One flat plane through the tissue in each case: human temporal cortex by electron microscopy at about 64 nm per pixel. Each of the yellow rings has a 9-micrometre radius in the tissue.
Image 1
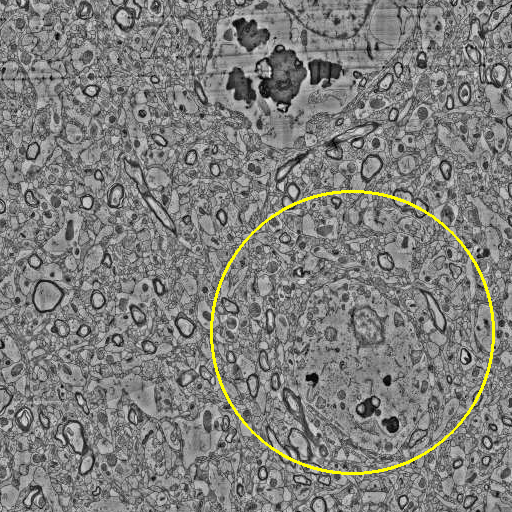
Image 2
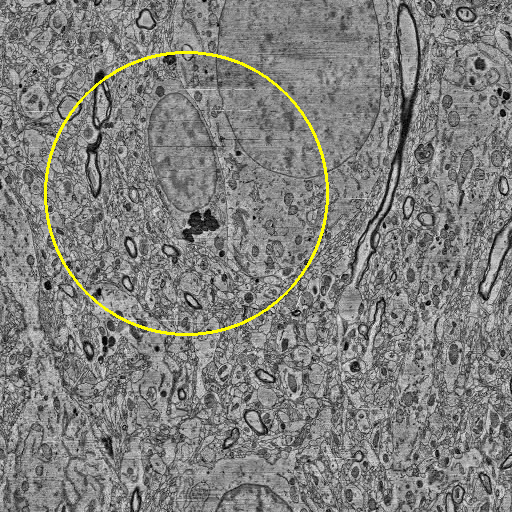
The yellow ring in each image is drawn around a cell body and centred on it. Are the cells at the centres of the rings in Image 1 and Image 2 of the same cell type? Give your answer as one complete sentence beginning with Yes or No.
No, the two cells are of two separate types.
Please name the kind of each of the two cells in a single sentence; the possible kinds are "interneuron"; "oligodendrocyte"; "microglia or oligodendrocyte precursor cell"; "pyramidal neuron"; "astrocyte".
In the first picture the ring is centred on a pyramidal neuron, and in the second on an oligodendrocyte.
